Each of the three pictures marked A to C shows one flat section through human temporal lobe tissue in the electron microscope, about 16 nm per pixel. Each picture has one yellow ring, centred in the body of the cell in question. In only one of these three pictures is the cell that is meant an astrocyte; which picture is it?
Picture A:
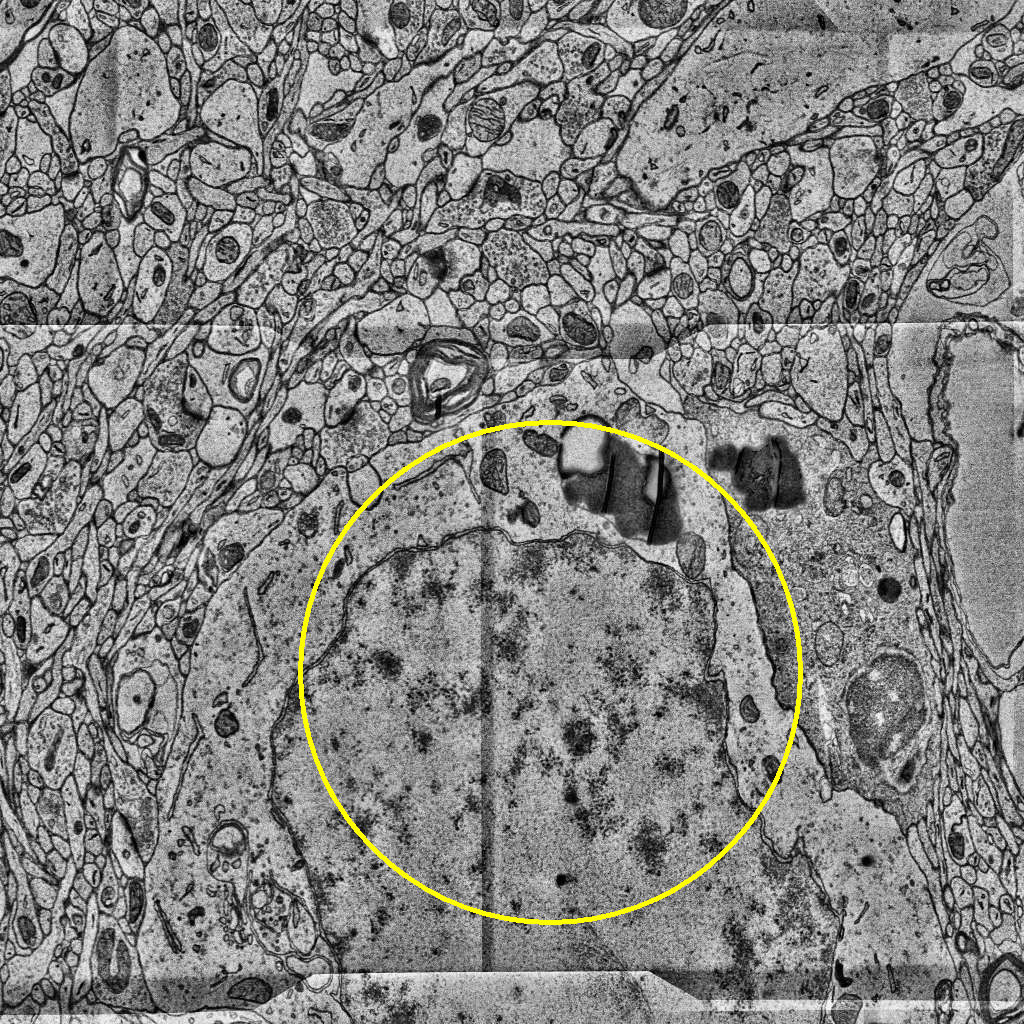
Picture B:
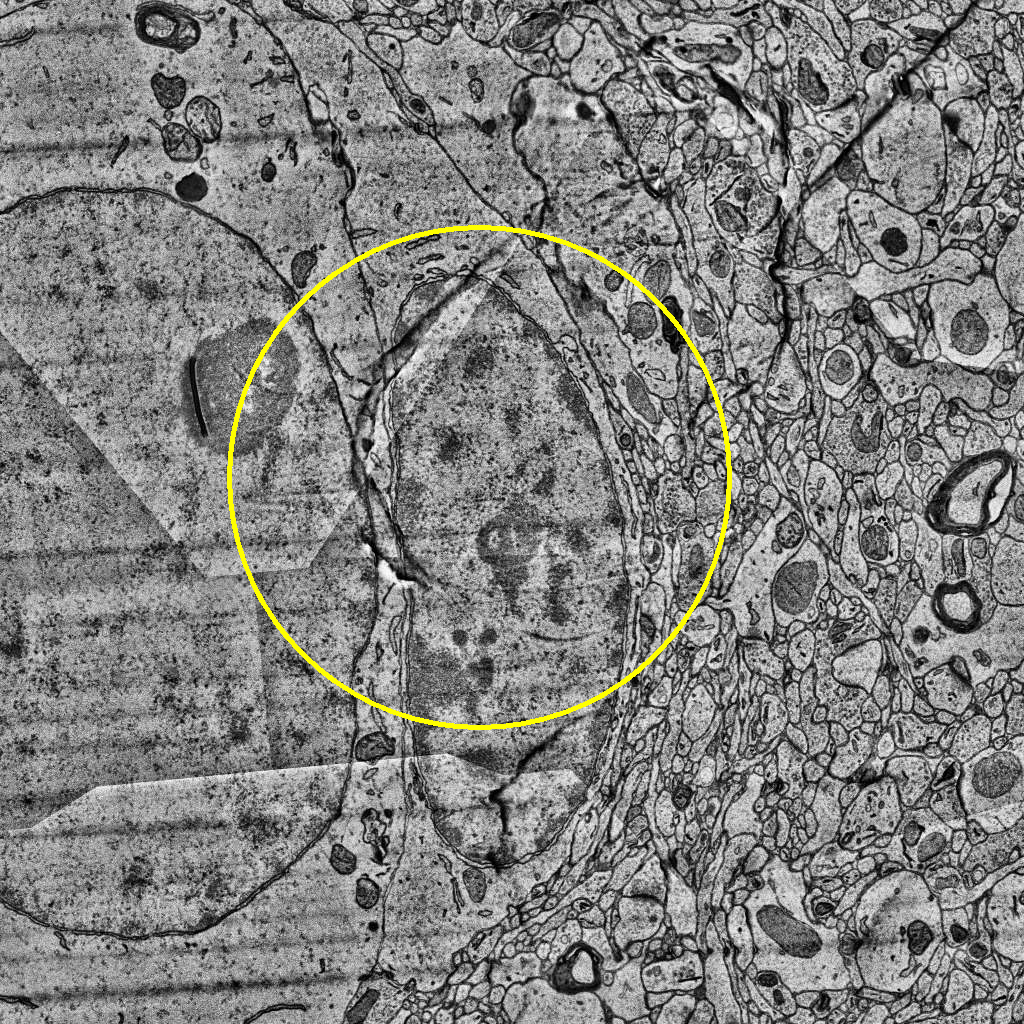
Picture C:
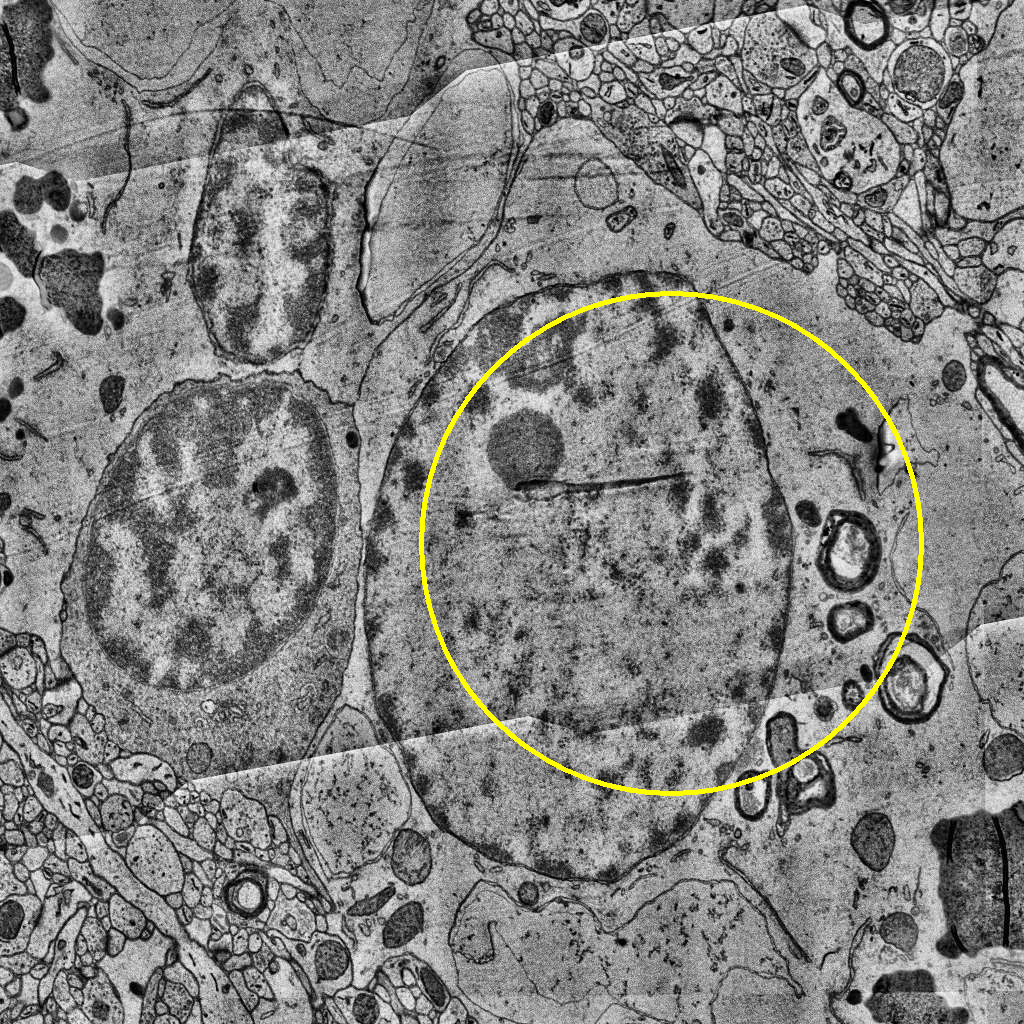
Picture C is the one that shows the astrocyte.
